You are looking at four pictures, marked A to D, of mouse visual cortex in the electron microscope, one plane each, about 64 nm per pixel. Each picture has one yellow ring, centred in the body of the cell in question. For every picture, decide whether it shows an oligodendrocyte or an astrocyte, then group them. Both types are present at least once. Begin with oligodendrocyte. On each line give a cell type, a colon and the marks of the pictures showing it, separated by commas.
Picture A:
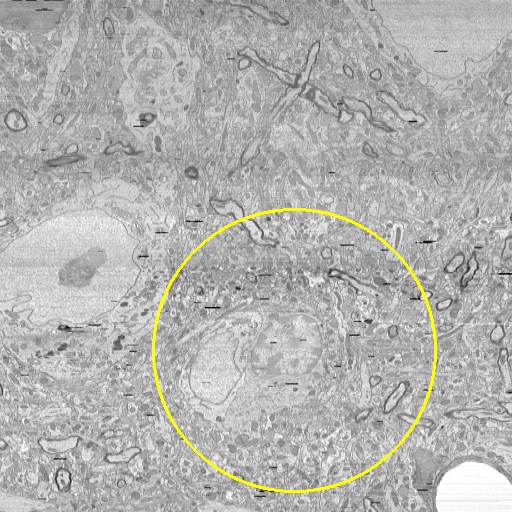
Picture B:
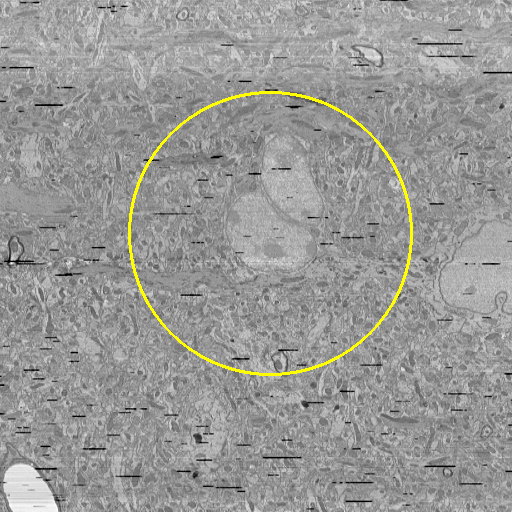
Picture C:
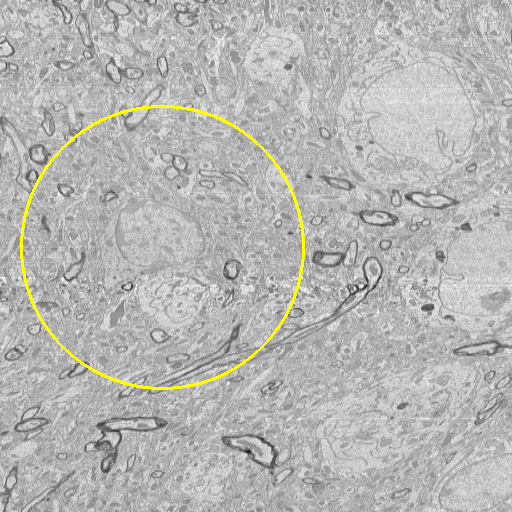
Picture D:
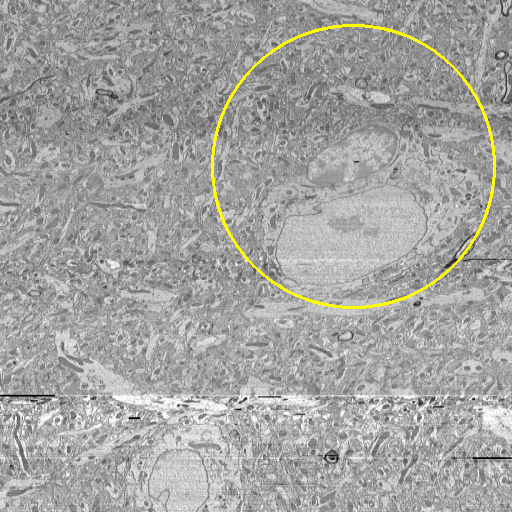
oligodendrocyte: A, C, D
astrocyte: B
